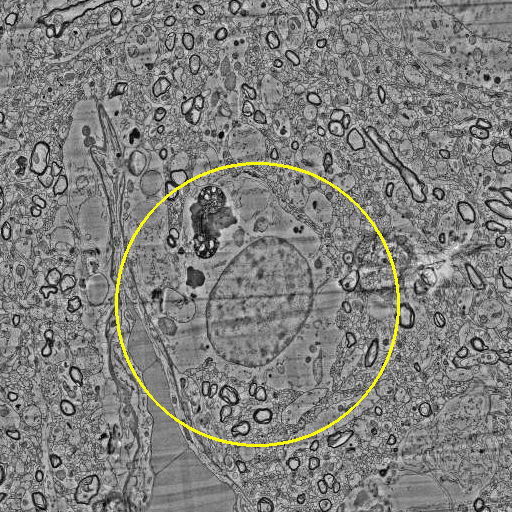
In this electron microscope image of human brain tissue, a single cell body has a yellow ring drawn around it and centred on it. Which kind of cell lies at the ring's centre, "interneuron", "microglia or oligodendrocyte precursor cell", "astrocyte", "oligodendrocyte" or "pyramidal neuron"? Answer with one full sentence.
It is an astrocyte whose cell body lies at the centre of the yellow ring here.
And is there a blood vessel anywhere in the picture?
Yes, a blood vessel shows in the picture.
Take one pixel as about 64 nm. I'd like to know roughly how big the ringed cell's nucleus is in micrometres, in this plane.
The nucleus of the ringed cell is approximately 8 by 6 micrometres in this plane.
